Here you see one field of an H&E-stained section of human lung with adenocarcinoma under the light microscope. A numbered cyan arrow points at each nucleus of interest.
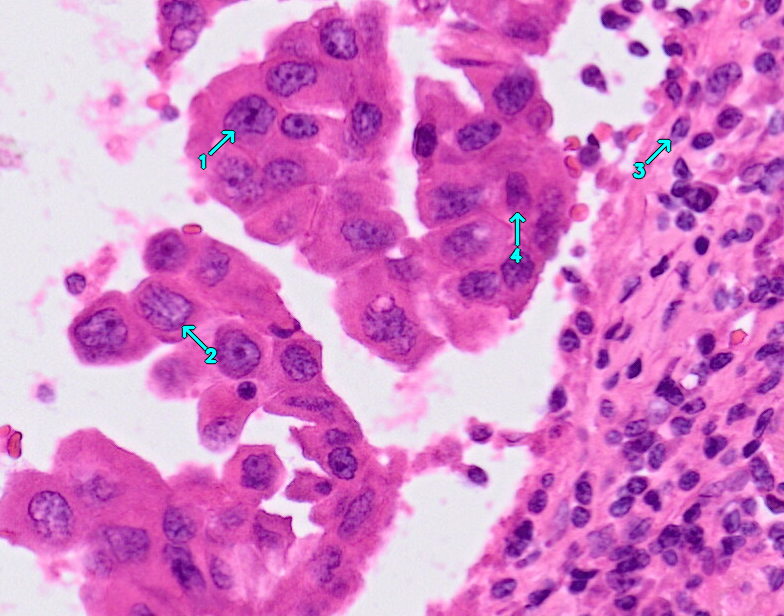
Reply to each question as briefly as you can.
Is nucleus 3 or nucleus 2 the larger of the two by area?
2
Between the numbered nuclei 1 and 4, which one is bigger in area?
1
